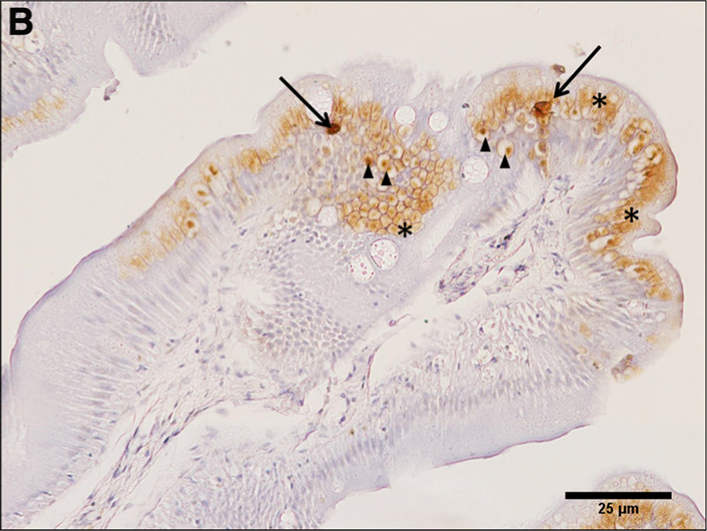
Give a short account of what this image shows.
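Tip of an intestinal fold lined by columnar epithelium over a connective tissue core. A broad band of lighter diffuse brown staining covers the epithelium at the apex, while the sides of the fold below show pale epithelium with blue-purple nuclei.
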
